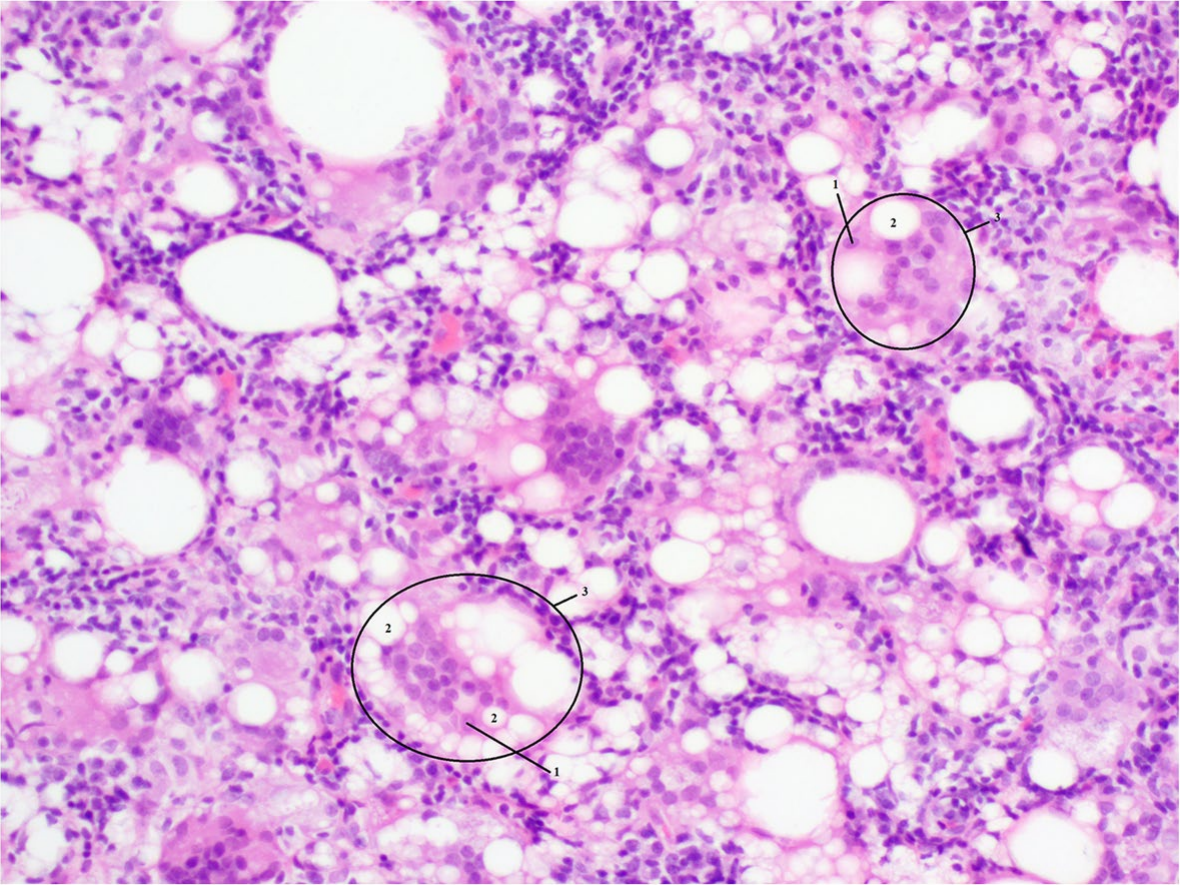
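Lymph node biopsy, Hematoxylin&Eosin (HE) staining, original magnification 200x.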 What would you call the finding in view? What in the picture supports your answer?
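Large multinucleated cells with many nuclei sit in pink cytoplasm. Numerous round clear vacuoles of varying size fill the tissue. Small dark lymphoid cells lie between the large cells. That points to this answer: foreign body giant cell reaction.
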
